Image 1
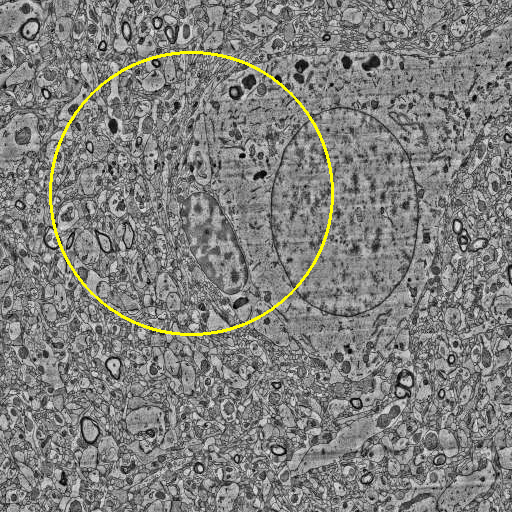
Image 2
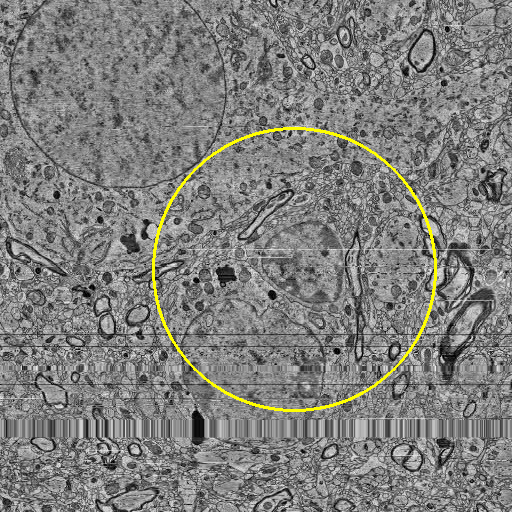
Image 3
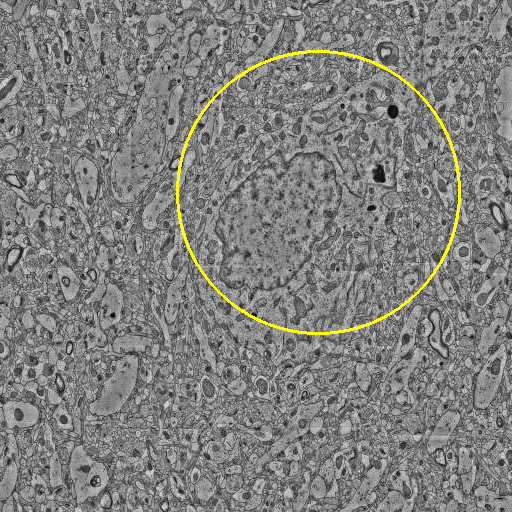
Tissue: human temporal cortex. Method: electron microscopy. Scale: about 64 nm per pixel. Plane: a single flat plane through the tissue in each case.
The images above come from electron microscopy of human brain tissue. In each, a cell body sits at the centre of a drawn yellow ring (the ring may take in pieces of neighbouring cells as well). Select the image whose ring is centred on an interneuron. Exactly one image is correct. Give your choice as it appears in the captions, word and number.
Image 3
